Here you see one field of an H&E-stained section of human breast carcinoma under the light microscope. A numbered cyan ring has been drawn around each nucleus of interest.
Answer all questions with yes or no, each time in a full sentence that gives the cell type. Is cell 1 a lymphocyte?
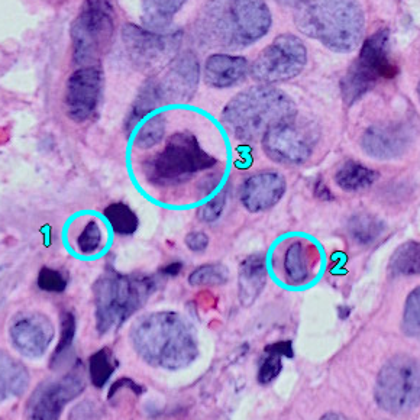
Yes, the marked cell with number 1 is a lymphocyte.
